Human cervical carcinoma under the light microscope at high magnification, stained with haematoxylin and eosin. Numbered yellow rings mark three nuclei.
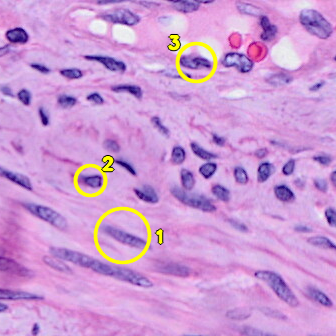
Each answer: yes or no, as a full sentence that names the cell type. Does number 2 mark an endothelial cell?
No, the cell labelled number 2 is not an endothelial cell; it is a smooth muscle cell.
